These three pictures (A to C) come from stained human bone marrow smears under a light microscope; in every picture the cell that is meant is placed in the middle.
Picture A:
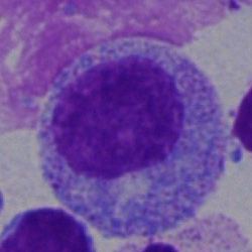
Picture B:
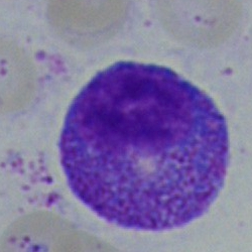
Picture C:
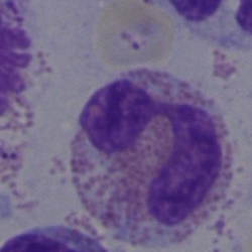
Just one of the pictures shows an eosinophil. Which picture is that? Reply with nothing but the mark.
C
